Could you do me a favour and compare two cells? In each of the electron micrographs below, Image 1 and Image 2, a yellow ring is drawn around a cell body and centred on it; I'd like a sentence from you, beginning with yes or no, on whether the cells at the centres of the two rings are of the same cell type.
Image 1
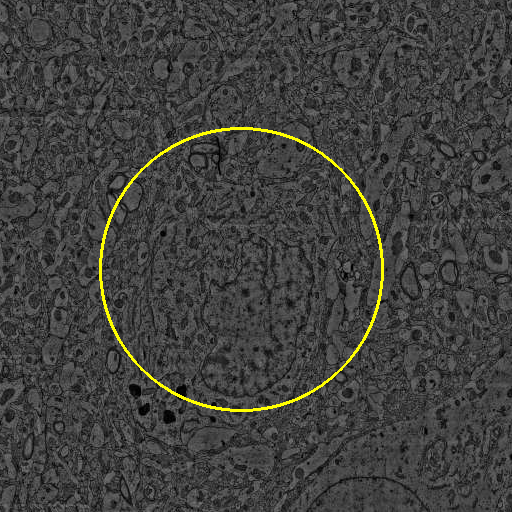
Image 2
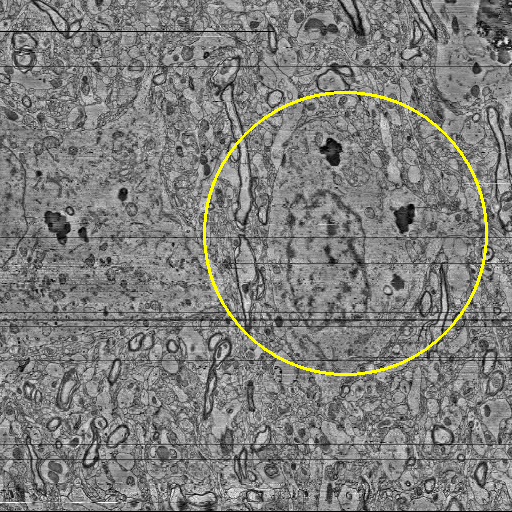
Yes, the two cells are of the same cell type.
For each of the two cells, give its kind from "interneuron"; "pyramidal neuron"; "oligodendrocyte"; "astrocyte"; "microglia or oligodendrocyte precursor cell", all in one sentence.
In both pictures the ring is centred on an interneuron.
